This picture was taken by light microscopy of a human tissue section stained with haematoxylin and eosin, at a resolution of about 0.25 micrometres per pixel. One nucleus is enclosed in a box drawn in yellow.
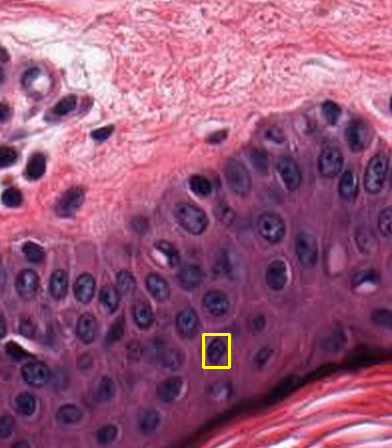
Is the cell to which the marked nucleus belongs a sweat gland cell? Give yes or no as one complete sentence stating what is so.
No, a sweat gland cell is not the cell of the marked nucleus; a keratinocyte is.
